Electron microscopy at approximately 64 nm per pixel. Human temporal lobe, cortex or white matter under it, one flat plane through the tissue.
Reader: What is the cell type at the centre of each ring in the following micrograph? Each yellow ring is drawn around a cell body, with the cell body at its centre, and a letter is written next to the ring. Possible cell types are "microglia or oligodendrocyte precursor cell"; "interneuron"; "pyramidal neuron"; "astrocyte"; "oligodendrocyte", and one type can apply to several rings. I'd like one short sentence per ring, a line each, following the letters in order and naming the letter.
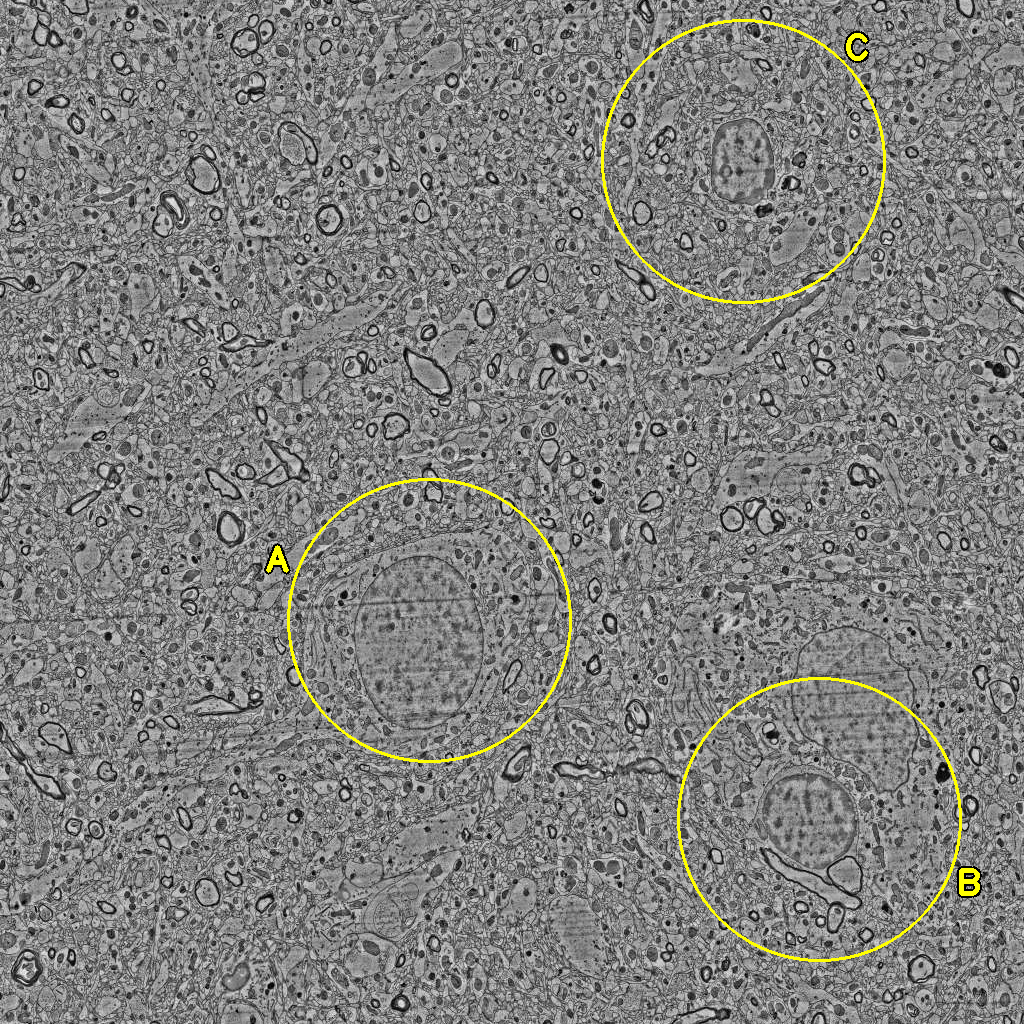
The cell body at the centre of ring A is that of an interneuron.
The cell body at the centre of ring B is that of an oligodendrocyte.
The cell body at the centre of ring C is that of a microglial cell or oligodendrocyte precursor cell.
